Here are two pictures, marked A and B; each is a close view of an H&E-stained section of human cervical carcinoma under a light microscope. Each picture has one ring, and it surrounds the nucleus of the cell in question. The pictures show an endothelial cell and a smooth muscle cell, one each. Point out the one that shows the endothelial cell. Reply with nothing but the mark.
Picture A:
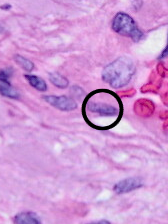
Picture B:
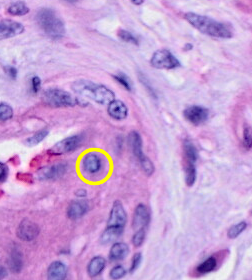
A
